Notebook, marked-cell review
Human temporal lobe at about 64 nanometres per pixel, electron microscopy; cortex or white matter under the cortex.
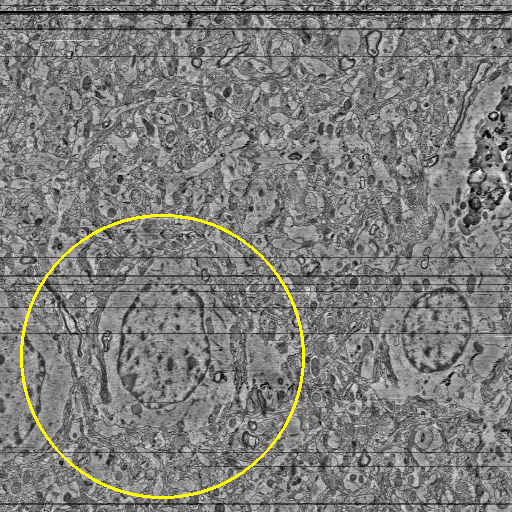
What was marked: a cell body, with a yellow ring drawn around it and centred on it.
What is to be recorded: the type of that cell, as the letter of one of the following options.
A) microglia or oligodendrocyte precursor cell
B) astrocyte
B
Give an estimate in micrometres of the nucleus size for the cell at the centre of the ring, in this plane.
About 9 by 6 micrometers for the nucleus, in this plane.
